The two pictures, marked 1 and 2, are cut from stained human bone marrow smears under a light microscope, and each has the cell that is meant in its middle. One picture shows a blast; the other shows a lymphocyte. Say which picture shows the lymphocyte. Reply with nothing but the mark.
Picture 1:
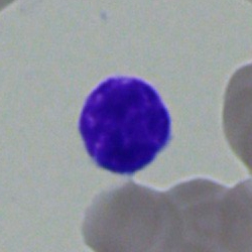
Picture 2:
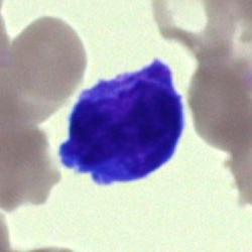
1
